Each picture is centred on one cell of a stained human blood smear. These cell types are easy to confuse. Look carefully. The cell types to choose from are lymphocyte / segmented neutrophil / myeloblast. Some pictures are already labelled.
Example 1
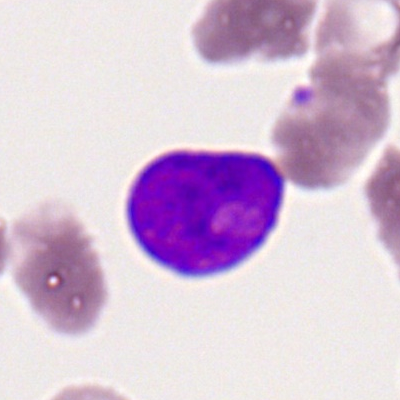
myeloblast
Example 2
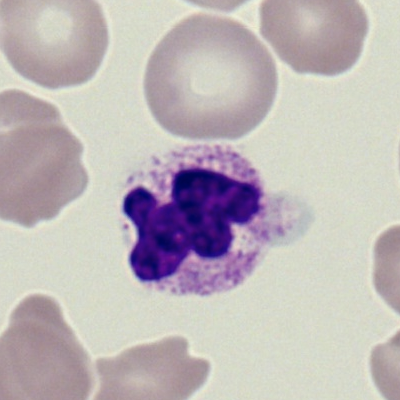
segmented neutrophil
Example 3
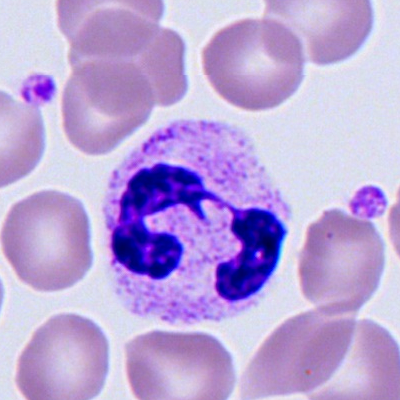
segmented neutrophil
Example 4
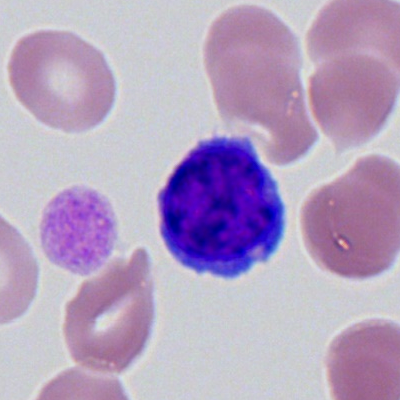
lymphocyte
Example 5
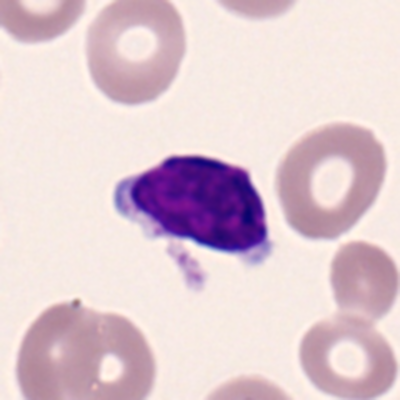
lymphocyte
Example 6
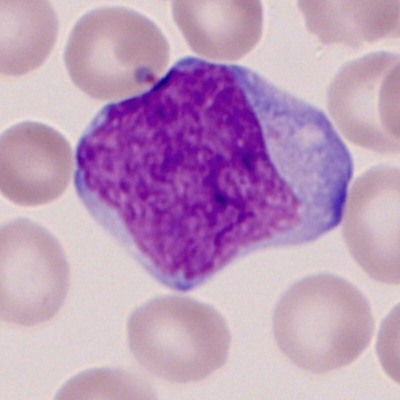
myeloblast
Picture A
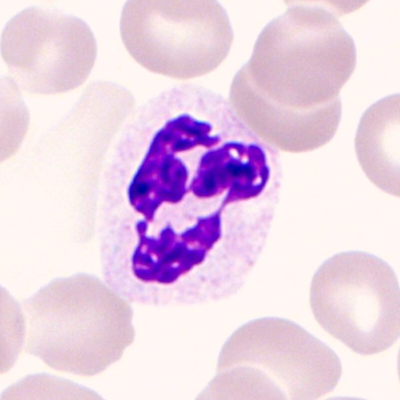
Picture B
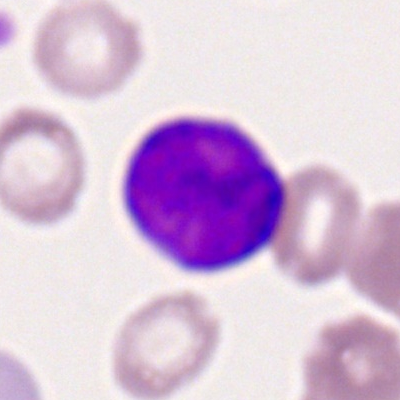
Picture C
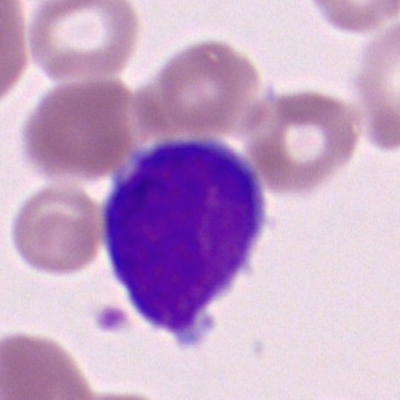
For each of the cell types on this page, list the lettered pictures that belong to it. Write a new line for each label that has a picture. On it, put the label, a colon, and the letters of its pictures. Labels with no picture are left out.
segmented neutrophil: A
myeloblast: B, C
